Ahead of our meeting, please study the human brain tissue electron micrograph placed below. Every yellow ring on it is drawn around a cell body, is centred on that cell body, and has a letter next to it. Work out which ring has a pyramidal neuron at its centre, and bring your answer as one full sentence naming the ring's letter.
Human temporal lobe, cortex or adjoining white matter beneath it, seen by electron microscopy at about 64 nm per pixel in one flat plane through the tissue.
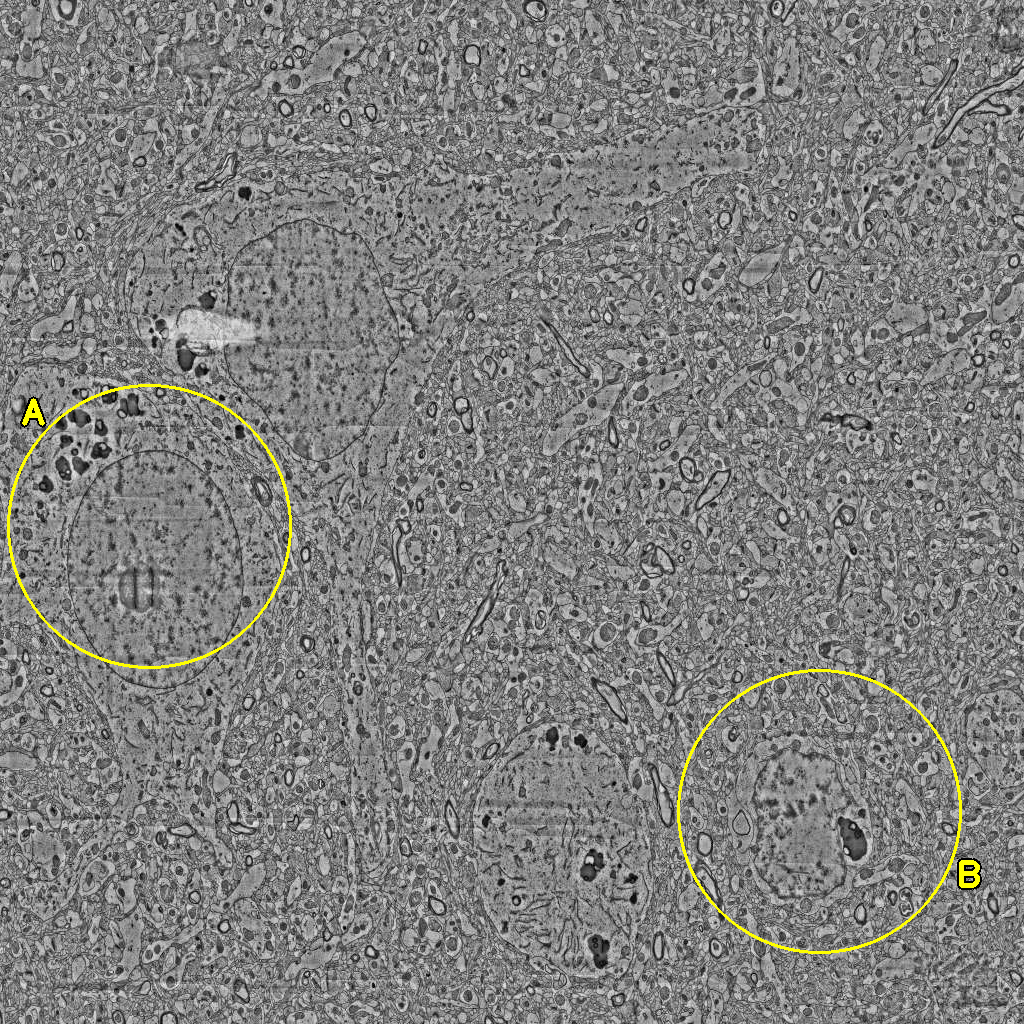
In the micrograph, ring A is the one centred on the cell I was asked to find.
